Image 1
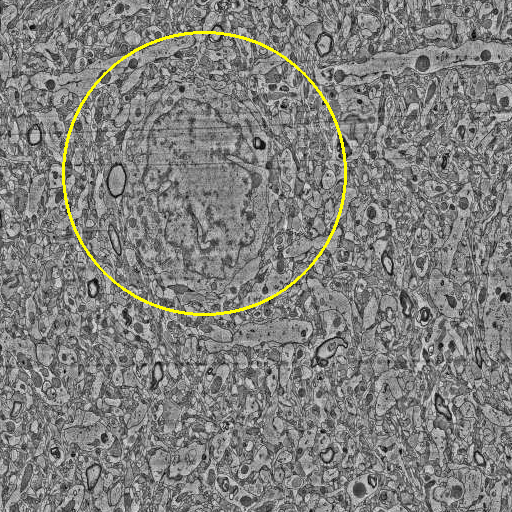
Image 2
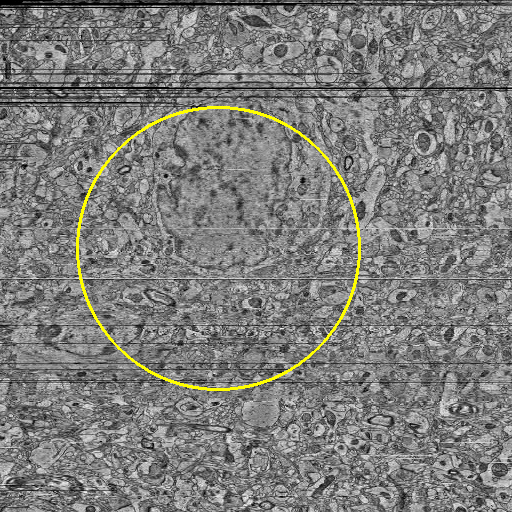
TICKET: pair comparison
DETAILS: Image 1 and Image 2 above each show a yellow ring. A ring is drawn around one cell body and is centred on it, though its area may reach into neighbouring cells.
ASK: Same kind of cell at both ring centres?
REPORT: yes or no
yes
